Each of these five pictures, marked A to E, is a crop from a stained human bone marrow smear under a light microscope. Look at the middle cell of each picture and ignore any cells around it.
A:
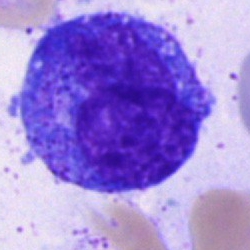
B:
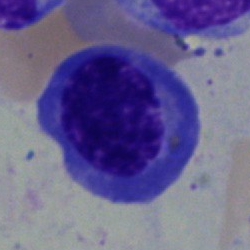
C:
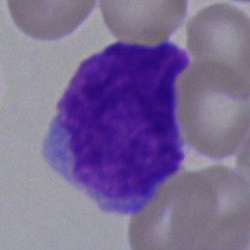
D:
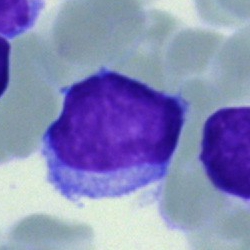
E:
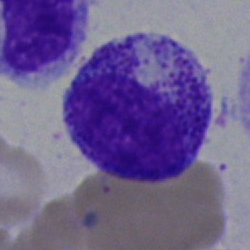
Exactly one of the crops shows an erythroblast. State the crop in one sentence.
Crop B is the crop in which an erythroblast is shown.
